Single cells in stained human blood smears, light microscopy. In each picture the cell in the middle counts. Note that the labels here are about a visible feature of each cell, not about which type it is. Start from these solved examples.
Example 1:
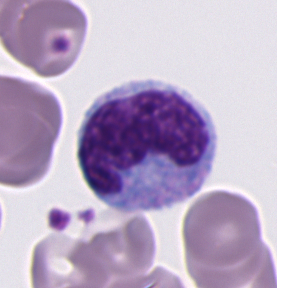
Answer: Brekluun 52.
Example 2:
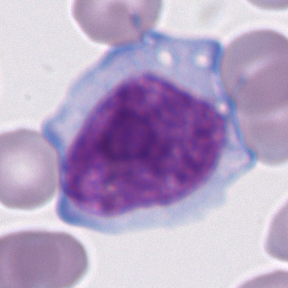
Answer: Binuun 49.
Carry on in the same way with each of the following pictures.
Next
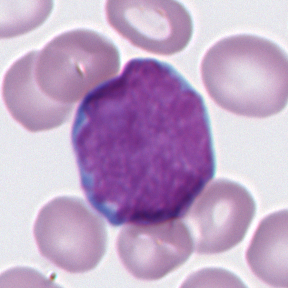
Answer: Brekluun 52.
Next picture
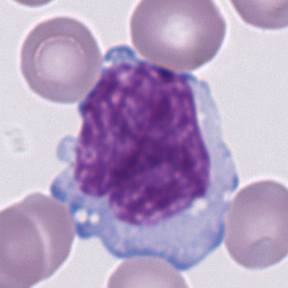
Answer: Binuun 49.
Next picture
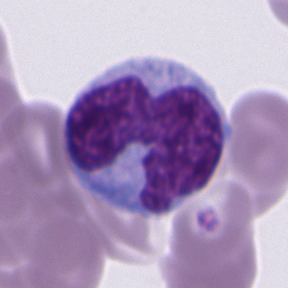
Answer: Brekluun 52.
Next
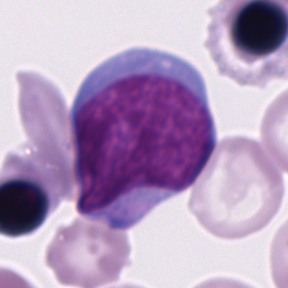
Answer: Brekluun 52.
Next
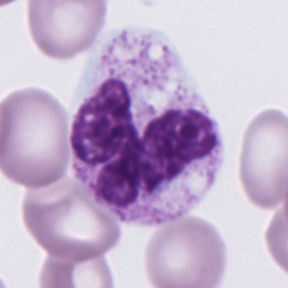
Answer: Binuun 49.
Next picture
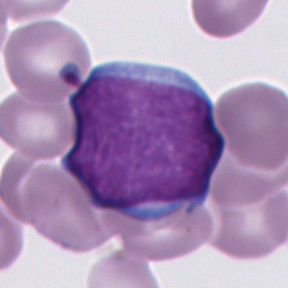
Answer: Brekluun 52.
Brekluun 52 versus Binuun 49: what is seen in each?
In Brekluun 52: no vacuoles. In Binuun 49: vacuoles present.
